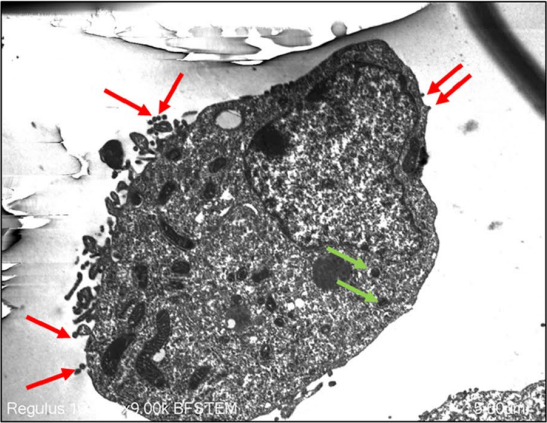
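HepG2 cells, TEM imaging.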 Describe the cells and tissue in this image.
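A single cultured cell is seen in section, with a large, rounded nucleus of finely granular chromatin occupying much of its upper part and a dense, dark nucleolus. The surrounding cytoplasm holds many dark, elongated and curved mitochondria, most abundant toward the lower left. Along the outer surface, especially at the left edge, small dark bodies and short projections cluster against the plasma membrane.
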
